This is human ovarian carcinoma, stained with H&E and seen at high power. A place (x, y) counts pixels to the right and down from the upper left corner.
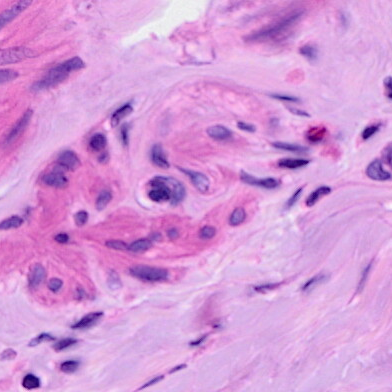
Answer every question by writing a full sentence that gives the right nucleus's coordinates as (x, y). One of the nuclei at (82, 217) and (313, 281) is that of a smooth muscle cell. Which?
The nucleus whose position is (82, 217) belongs to a smooth muscle cell.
